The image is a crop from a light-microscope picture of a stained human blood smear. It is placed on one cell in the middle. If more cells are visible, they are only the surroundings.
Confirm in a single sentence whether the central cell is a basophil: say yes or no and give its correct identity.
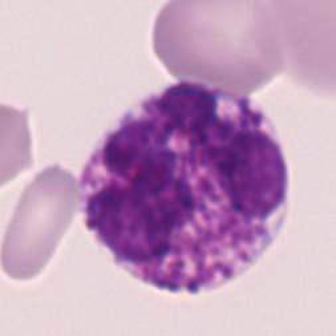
Yes, the cell that lies centrally is a basophil.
